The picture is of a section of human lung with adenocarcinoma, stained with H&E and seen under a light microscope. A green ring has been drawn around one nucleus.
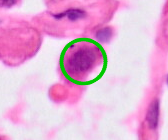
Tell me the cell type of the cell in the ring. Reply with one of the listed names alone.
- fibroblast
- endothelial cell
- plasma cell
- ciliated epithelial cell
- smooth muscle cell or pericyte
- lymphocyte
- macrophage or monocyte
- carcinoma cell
macrophage or monocyte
